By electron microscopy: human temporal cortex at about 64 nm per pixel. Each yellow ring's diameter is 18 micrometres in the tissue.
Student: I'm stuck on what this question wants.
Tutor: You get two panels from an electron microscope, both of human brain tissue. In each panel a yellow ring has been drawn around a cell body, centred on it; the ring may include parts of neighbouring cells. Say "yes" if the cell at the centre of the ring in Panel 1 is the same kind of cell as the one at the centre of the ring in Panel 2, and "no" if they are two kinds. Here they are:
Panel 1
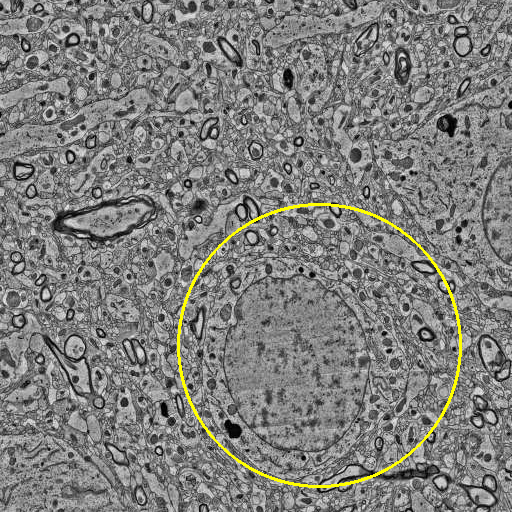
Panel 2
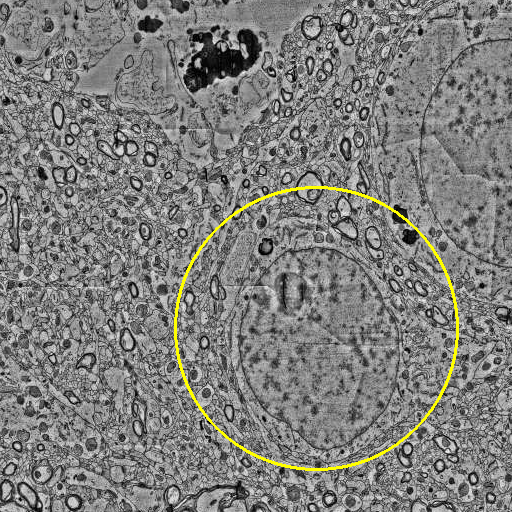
yes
